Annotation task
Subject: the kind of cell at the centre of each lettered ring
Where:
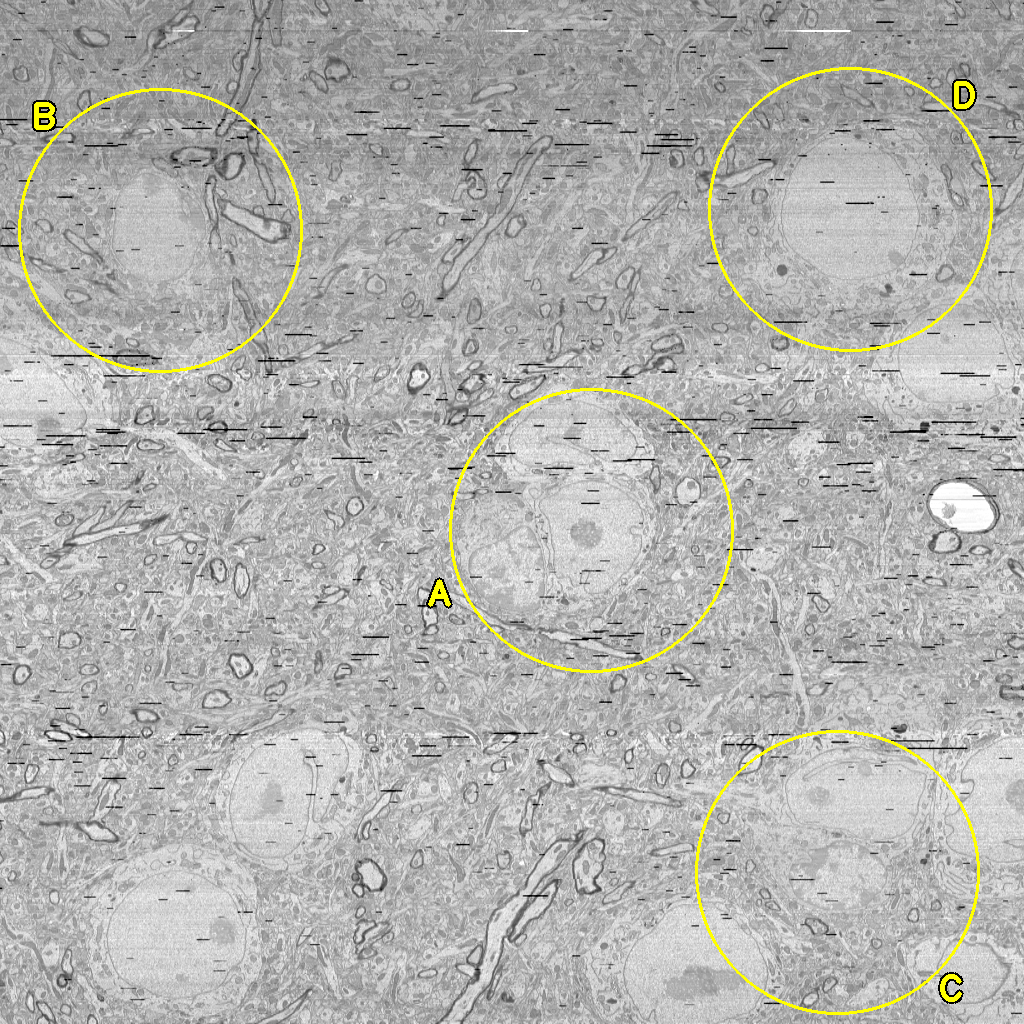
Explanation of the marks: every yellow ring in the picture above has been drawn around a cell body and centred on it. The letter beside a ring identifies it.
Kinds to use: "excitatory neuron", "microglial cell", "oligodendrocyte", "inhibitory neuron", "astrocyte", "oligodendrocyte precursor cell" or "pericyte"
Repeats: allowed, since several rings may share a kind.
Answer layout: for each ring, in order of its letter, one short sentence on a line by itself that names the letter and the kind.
The ring lettered A is drawn around an inhibitory neuron.
The ring lettered B is drawn around an astrocyte.
The ring lettered C is drawn around an oligodendrocyte.
The ring lettered D is drawn around an excitatory neuron.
